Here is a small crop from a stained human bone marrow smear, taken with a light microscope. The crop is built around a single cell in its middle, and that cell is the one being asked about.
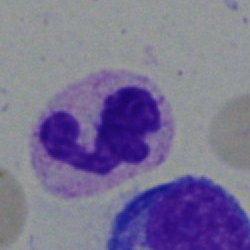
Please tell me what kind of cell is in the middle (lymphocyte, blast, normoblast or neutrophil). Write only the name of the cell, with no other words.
neutrophil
